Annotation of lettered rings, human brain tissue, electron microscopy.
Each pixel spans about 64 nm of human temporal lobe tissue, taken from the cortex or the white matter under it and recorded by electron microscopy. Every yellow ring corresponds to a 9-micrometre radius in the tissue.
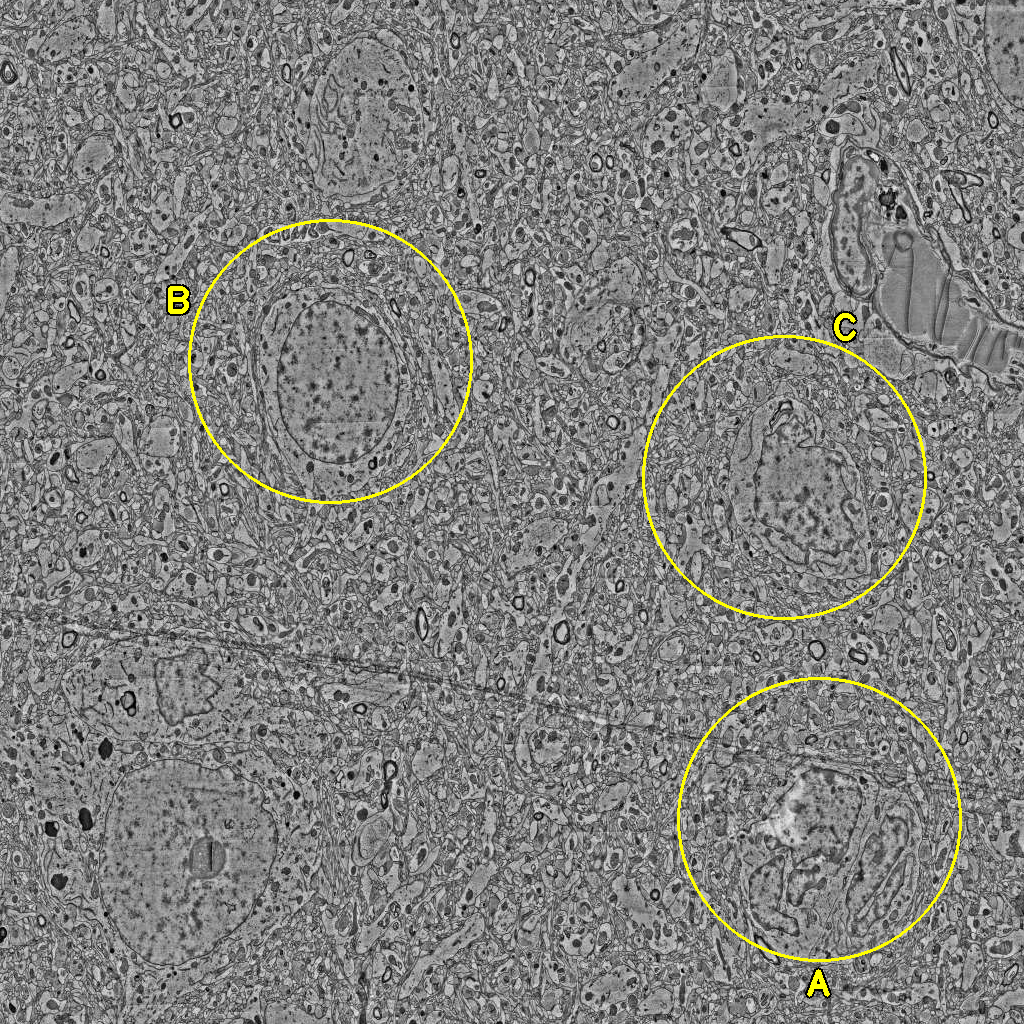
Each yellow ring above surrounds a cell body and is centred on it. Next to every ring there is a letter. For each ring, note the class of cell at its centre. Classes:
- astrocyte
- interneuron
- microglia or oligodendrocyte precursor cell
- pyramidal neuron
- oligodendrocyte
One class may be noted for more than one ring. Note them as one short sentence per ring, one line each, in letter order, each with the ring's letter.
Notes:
The class noted at ring A is a microglial cell or oligodendrocyte precursor cell.
The class noted at ring B is a pyramidal neuron.
The class noted at ring C is an interneuron.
